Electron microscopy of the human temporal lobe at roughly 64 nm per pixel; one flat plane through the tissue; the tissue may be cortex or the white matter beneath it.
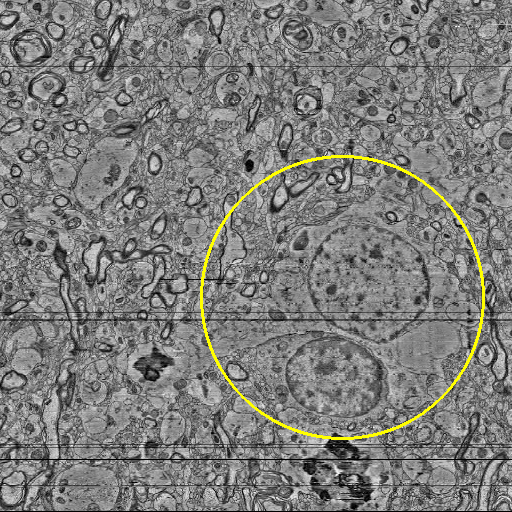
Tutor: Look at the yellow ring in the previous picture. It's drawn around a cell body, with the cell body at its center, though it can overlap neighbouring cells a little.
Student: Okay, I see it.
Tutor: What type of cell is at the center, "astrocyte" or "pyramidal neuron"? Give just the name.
astrocyte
